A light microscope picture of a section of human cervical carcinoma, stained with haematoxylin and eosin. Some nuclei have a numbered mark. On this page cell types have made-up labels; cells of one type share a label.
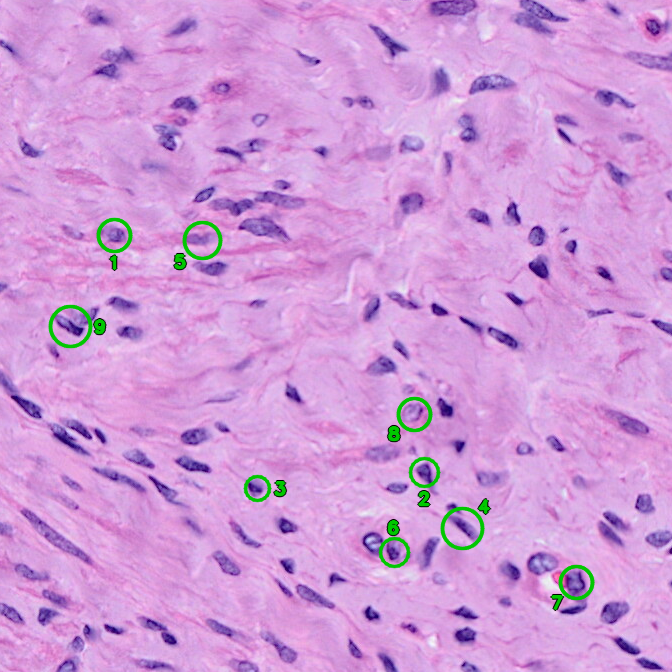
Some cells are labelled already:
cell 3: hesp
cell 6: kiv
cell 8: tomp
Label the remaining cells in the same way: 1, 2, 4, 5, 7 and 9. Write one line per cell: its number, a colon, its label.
1: tomp
2: hesp
4: hesp
5: tomp
7: kiv
9: hesp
